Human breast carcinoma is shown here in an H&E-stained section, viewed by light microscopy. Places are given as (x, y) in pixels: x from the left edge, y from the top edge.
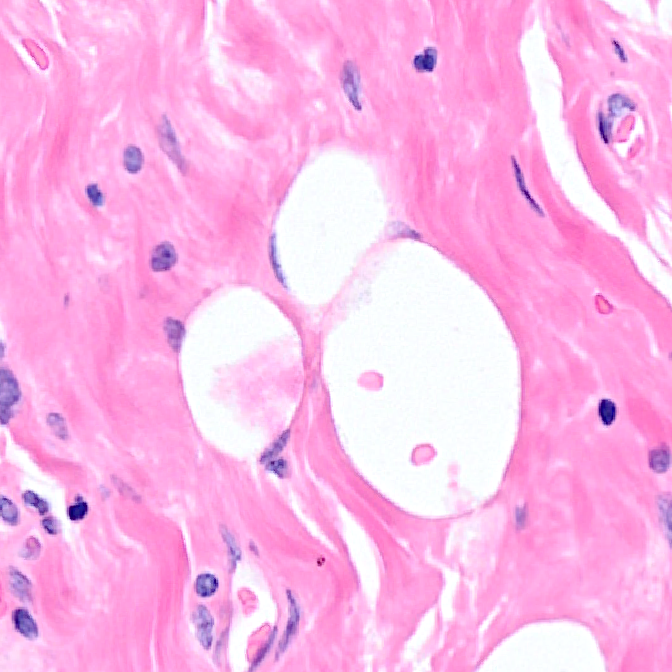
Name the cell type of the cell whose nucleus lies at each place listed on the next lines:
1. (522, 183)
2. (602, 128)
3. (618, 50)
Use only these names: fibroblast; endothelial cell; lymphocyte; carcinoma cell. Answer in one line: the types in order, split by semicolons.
fibroblast; endothelial cell; fibroblast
